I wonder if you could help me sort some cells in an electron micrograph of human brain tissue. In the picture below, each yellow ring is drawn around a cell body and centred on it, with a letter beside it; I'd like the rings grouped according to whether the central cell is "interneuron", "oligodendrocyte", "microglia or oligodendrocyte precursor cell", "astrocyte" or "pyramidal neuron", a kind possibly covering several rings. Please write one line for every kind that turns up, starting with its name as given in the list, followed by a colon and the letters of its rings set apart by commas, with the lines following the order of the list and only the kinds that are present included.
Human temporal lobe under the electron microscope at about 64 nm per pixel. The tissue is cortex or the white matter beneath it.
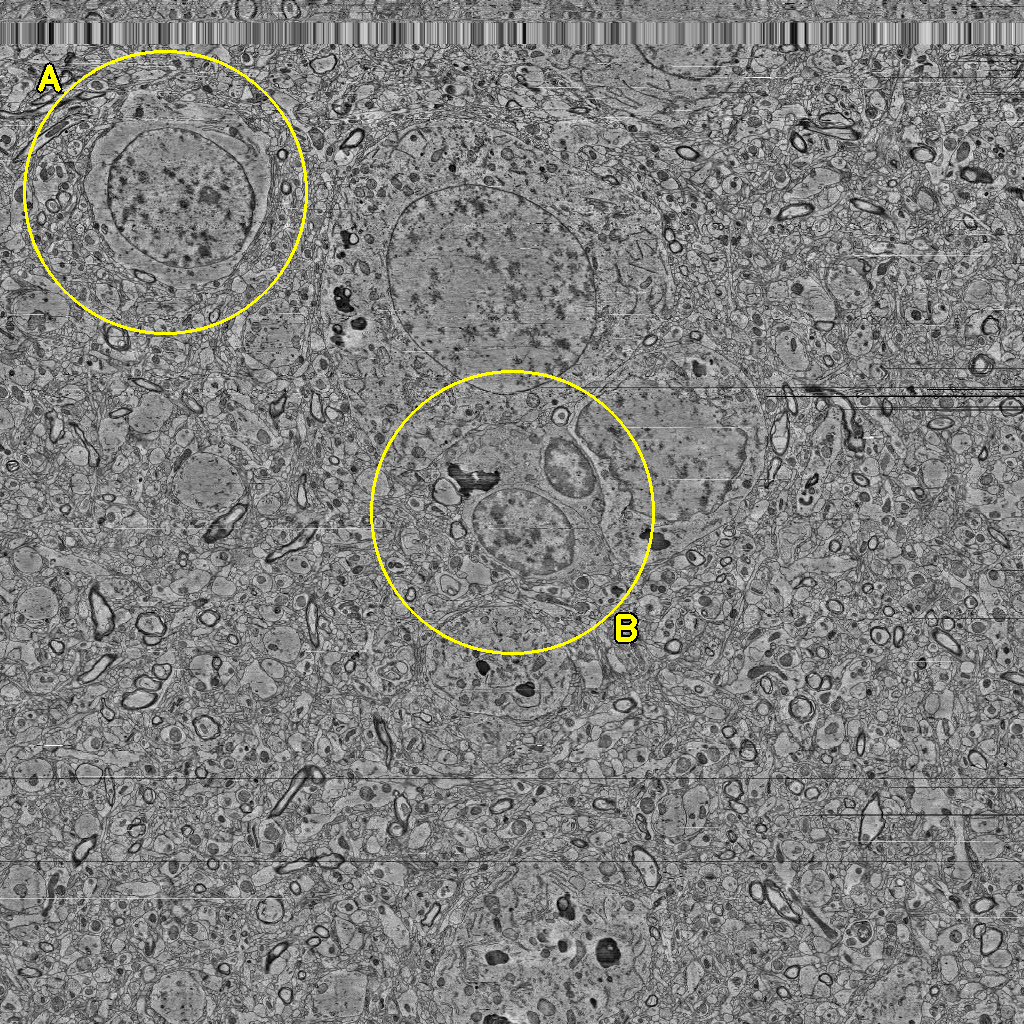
oligodendrocyte: B
astrocyte: A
